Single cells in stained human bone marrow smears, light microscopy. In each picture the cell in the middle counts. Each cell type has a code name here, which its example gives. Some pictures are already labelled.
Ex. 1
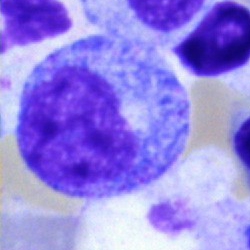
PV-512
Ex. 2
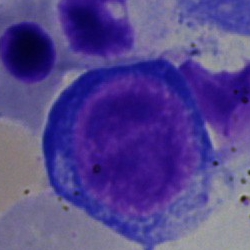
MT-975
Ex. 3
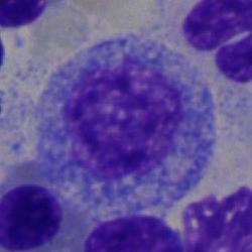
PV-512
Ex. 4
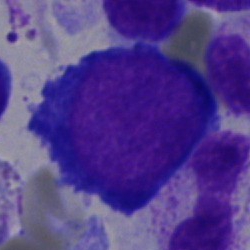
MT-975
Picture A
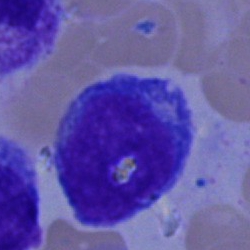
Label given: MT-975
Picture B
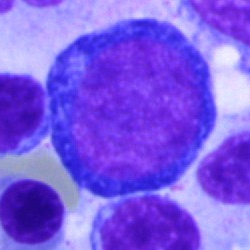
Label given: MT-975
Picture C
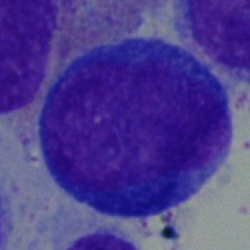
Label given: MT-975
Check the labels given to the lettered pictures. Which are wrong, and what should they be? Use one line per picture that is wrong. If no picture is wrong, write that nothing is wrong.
Nothing to fix; every label fits.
